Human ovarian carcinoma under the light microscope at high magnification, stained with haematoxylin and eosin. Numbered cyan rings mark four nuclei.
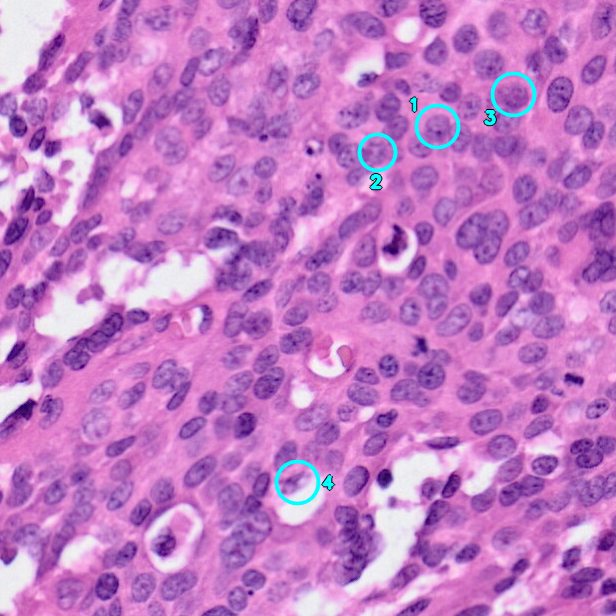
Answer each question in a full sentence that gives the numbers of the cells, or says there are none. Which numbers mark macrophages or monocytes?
Cell number 4 alone is a macrophage or monocyte; the rest are not.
